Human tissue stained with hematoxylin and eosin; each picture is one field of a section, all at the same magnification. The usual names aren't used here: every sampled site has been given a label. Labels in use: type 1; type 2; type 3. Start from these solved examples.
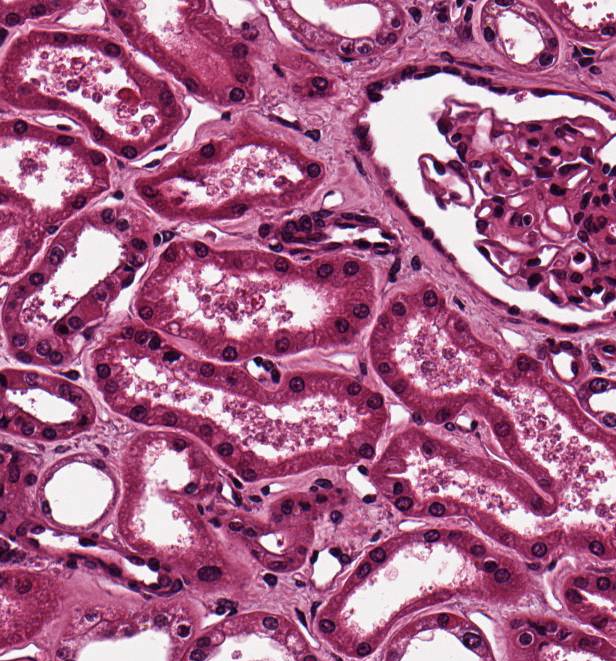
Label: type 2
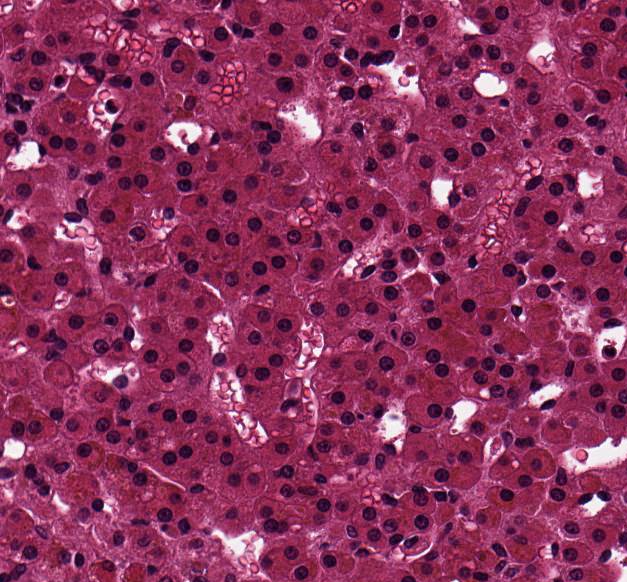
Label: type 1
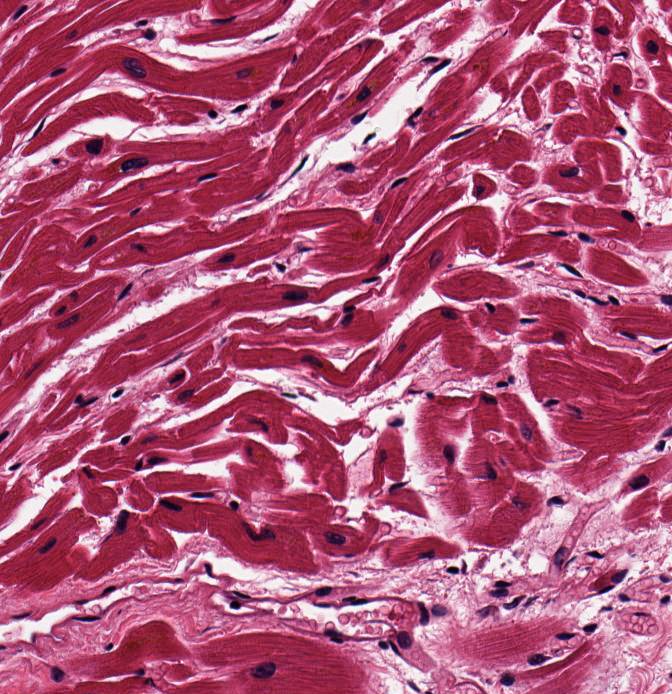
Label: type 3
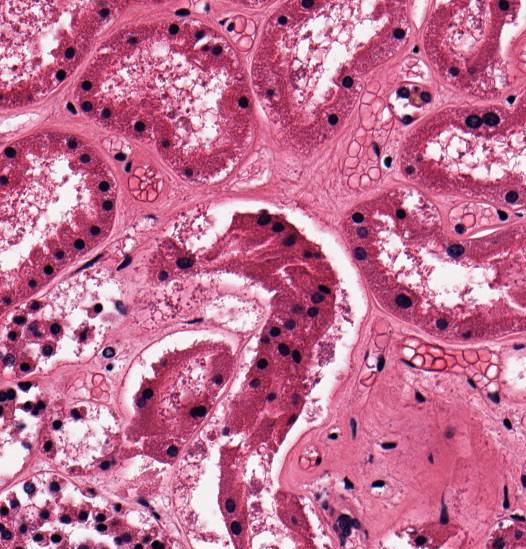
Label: type 2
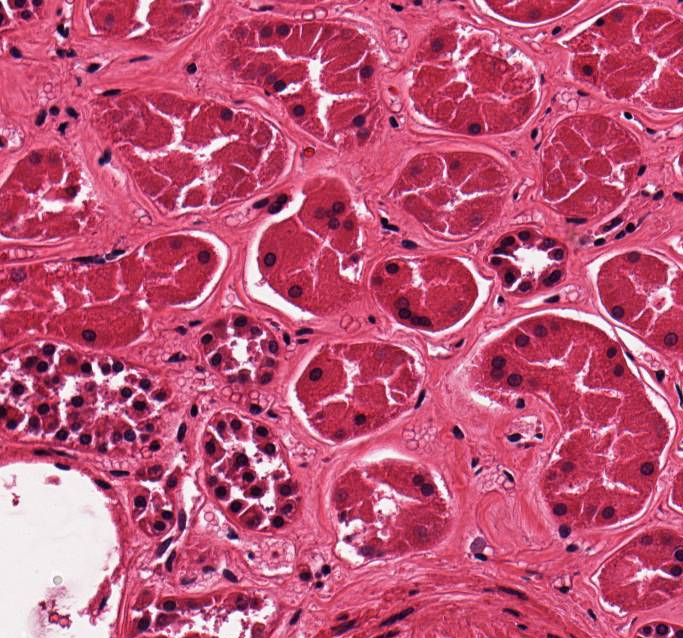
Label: type 2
